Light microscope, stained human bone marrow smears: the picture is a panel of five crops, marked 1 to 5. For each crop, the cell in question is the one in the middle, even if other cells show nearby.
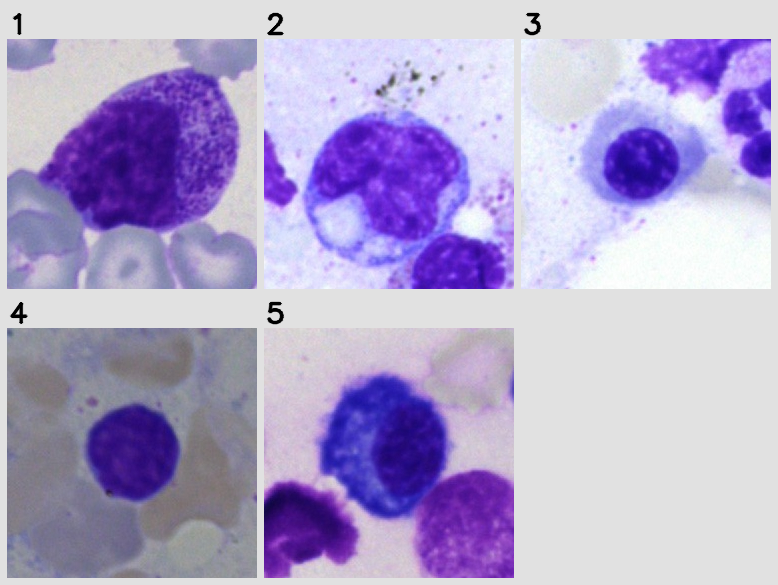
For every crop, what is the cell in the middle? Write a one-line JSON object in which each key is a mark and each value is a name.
{"1": "myelocyte", "2": "monocyte", "3": "erythroblast", "4": "lymphocyte", "5": "plasma cell"}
